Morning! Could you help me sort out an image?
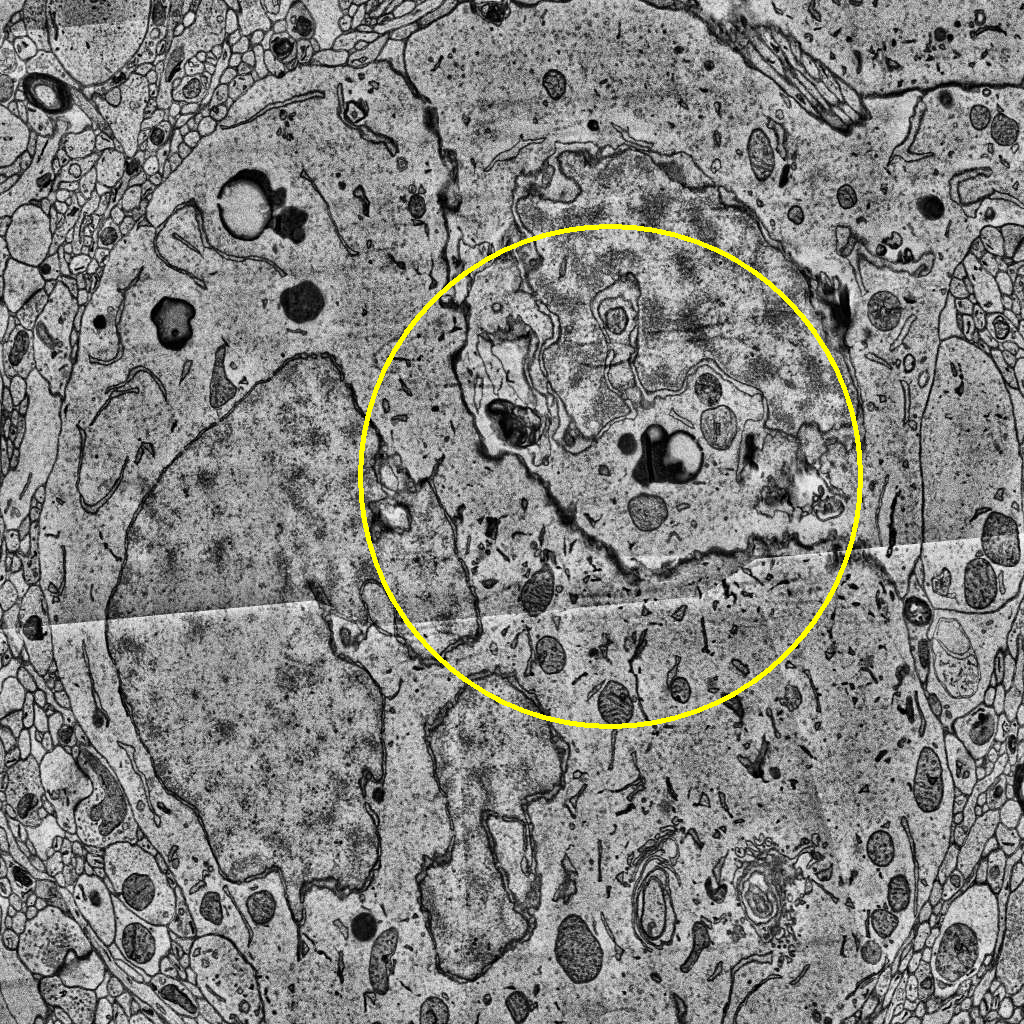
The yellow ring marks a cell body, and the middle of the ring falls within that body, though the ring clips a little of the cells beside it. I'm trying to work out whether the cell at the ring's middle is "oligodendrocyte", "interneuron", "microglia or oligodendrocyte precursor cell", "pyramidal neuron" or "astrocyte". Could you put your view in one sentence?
The cell body at the ring's middle is that of an interneuron.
